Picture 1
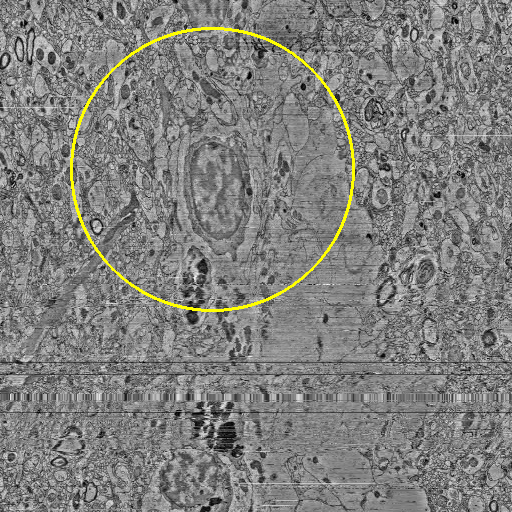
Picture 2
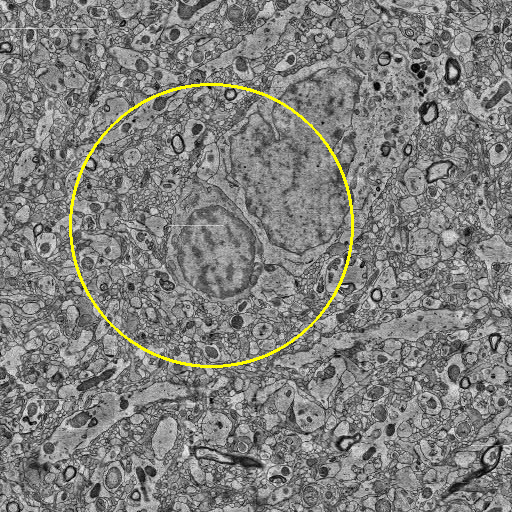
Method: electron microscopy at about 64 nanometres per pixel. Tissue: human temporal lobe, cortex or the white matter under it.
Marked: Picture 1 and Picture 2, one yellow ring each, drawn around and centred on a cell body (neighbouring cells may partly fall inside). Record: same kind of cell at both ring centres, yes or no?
yes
